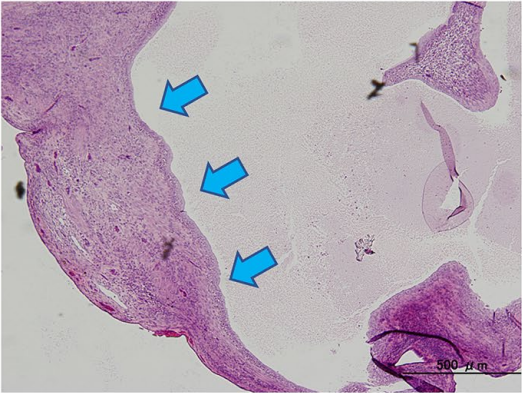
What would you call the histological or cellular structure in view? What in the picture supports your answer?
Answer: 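The wall is lined on its inner face by a thin layer of cells. The answer: cystic lesion.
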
